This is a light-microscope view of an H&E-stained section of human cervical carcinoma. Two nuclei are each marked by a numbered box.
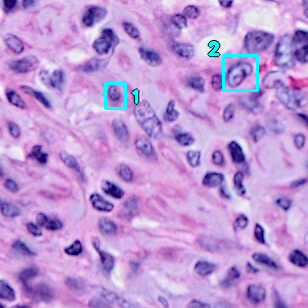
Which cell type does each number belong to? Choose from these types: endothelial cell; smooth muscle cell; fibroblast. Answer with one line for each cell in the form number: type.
1: smooth muscle cell
2: endothelial cell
